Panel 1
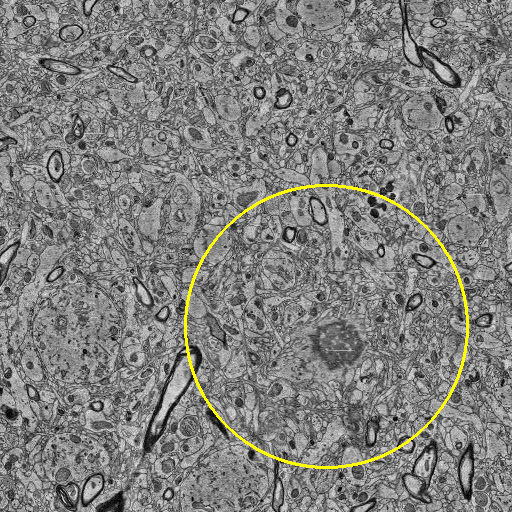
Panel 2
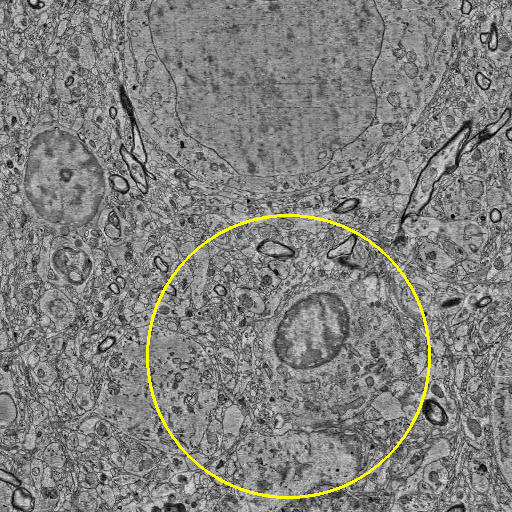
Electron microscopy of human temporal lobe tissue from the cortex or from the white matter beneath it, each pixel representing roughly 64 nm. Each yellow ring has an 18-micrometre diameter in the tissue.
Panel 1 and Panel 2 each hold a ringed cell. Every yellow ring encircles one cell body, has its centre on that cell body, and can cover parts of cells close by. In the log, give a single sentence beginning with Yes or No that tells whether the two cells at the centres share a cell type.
Yes, in Panel 1 and Panel 2 the centred cells share a cell type.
